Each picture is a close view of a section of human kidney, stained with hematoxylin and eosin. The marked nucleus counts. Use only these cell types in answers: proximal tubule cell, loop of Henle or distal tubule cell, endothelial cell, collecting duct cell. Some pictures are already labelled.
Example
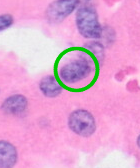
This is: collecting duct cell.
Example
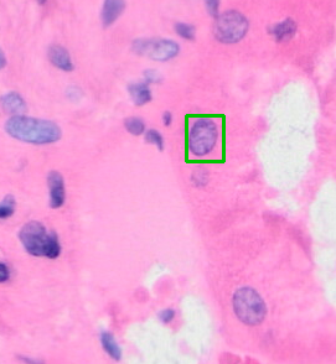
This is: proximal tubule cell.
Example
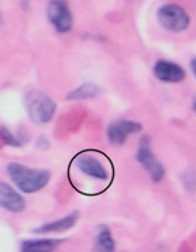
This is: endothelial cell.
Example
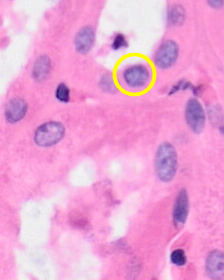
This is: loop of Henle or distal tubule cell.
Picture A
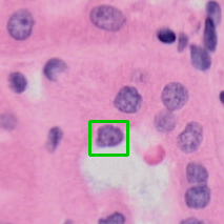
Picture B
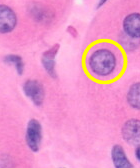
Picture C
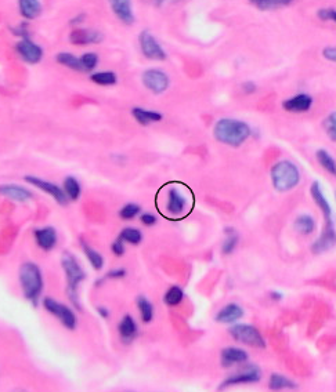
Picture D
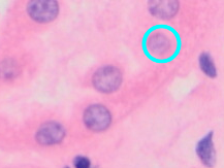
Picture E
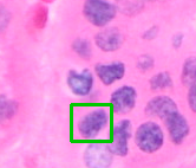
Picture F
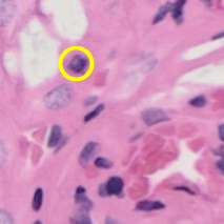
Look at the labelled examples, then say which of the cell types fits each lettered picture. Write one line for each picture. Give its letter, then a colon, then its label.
A: loop of Henle or distal tubule cell.
B: proximal tubule cell.
C: endothelial cell.
D: proximal tubule cell.
E: collecting duct cell.
F: loop of Henle or distal tubule cell.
